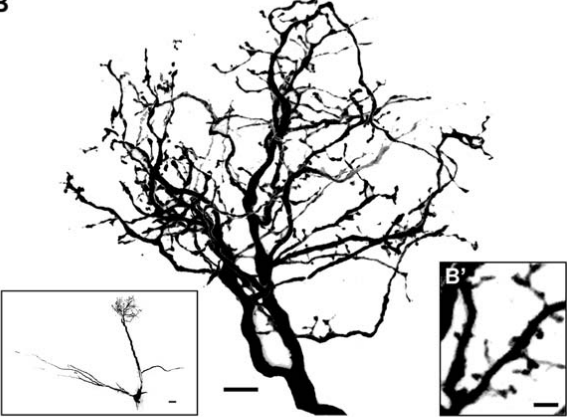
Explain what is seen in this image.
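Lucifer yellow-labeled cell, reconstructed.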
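This is the glomerular tuft of a mitral cell, a thick apical dendrite that splits into a dense, rounded arbor of many branching fine dendrites. At higher magnification the branches carry many short spine-like protrusions with small knobby heads. The small inset shows the whole cell, with a long apical dendrite rising from the cell body and long lateral dendrites spreading sideways.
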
